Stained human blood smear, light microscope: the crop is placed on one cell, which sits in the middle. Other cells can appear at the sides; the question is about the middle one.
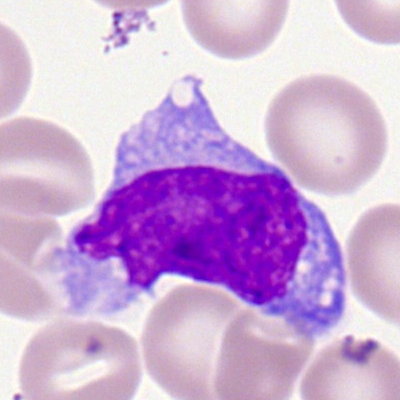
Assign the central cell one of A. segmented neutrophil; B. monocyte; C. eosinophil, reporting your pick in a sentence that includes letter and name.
The middle of the crop contains a monocyte, so option B is right.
